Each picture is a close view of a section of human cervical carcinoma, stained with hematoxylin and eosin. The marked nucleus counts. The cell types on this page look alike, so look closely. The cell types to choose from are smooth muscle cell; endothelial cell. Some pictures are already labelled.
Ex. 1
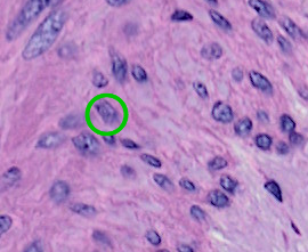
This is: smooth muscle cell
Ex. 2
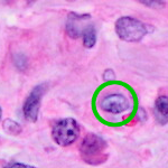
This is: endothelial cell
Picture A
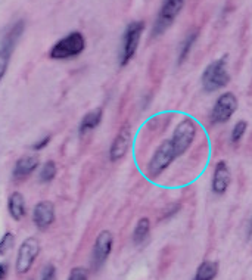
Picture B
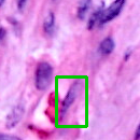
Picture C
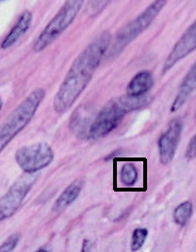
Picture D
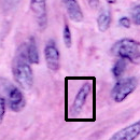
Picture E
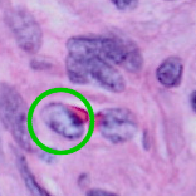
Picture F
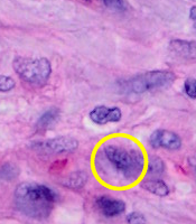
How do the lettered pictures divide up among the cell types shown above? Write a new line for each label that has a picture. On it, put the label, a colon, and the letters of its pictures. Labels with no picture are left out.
smooth muscle cell: A, C, D
endothelial cell: B, E, F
